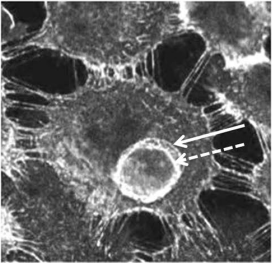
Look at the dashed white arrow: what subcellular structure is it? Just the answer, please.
Plasma membrane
